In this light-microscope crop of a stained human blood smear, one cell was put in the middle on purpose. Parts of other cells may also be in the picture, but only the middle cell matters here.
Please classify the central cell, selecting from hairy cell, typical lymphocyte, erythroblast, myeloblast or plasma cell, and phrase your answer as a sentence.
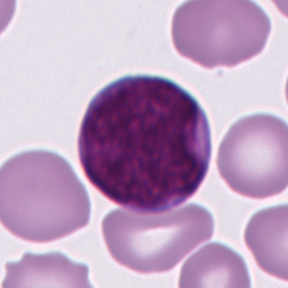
Positioned in the middle of the crop is a myeloblast.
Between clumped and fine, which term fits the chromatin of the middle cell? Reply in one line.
Its chromatin is clumped in a coarse pattern.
